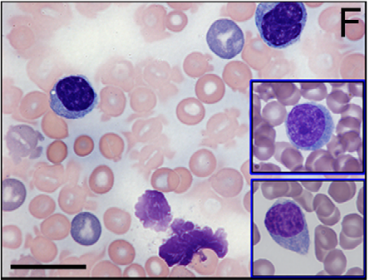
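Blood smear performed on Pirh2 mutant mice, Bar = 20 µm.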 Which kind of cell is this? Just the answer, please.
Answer: Atypical plasma cells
